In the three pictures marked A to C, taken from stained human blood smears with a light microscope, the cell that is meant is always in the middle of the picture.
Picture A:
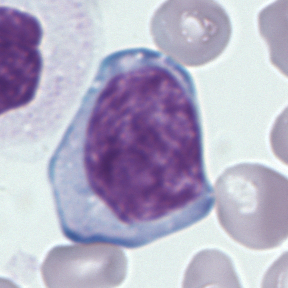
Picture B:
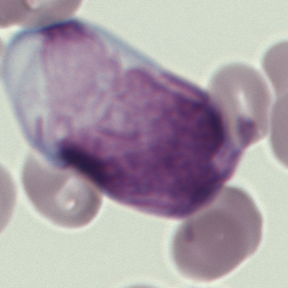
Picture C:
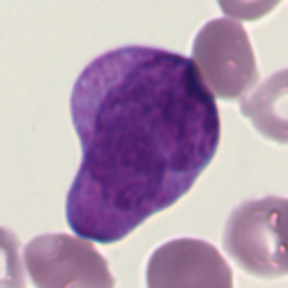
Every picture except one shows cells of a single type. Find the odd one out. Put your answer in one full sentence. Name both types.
Picture A is the odd one out: it shows a myeloblast, while the others show atypical promyelocytes.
